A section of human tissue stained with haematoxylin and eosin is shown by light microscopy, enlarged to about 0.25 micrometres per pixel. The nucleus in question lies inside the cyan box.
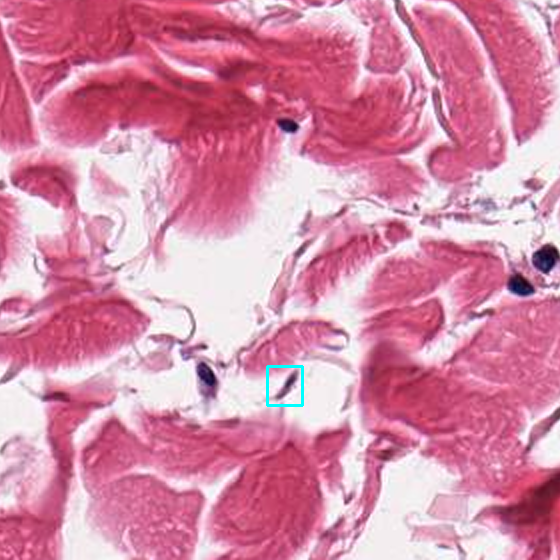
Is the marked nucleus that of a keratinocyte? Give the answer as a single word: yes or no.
no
